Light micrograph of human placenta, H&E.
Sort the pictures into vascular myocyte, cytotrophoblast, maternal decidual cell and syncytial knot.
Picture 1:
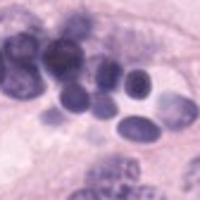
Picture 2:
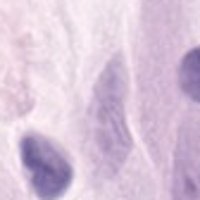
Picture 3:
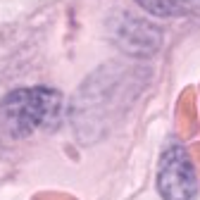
Syncytial knots: 1
Maternal decidual cells: 2
Cytotrophoblasts: 3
